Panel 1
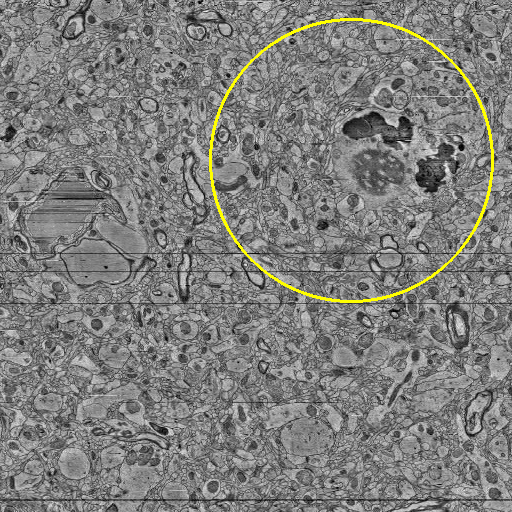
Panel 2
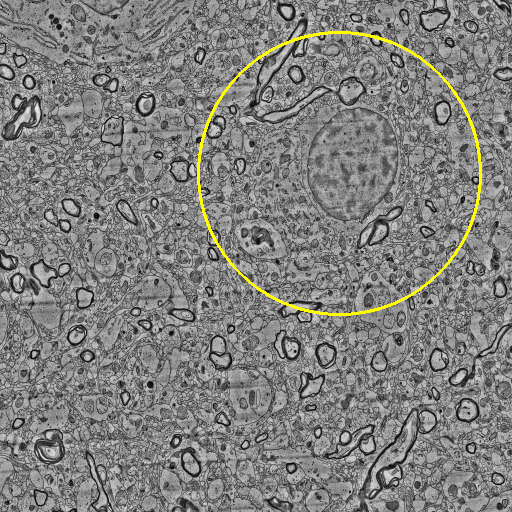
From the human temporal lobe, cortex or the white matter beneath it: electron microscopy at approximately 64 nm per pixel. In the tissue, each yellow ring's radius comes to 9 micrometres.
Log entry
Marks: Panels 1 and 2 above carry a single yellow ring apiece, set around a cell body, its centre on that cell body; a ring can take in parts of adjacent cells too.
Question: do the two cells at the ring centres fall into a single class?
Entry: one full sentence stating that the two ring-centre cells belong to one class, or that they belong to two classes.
The two ring-centre cells in Panels 1 and 2 belong to one class.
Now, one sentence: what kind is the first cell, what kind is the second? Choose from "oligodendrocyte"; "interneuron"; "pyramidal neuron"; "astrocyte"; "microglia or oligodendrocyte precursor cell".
In both pictures the ring is centred on an oligodendrocyte.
